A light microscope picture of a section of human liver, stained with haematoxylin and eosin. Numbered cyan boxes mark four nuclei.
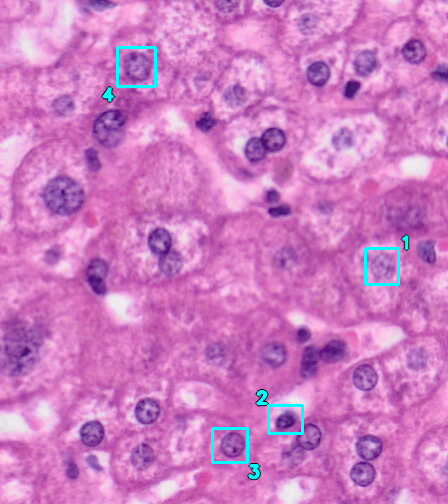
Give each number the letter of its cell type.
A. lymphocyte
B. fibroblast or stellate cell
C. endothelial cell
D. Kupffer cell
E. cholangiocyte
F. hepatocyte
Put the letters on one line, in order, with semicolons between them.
F; D; F; F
